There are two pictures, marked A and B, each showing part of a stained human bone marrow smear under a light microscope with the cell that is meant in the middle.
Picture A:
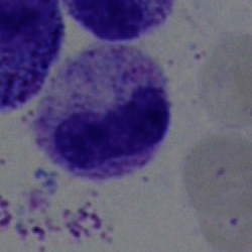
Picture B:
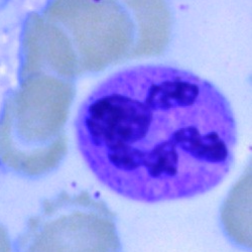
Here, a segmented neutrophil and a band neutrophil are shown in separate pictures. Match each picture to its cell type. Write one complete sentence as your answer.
In picture A the cell is a band neutrophil; in picture B, a segmented neutrophil.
